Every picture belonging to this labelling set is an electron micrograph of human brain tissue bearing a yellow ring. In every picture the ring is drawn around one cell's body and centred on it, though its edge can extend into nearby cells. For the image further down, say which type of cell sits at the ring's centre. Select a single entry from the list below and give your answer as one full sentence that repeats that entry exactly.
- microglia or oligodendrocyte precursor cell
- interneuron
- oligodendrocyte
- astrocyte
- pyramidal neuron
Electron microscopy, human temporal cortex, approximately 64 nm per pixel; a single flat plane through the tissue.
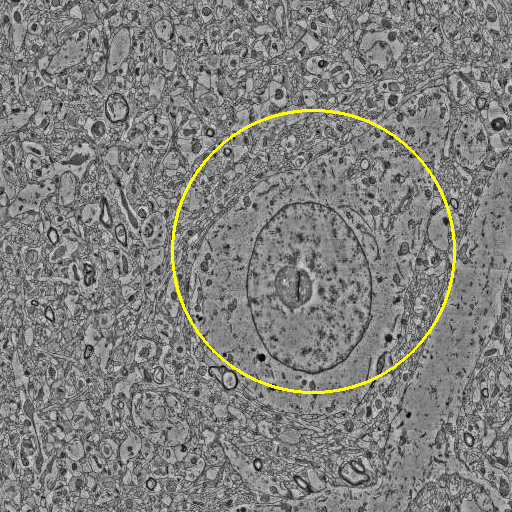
In the picture, a pyramidal neuron is the cell at the centre of the yellow ring.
